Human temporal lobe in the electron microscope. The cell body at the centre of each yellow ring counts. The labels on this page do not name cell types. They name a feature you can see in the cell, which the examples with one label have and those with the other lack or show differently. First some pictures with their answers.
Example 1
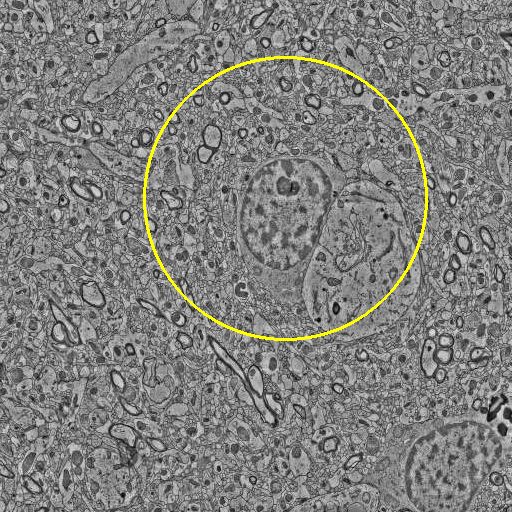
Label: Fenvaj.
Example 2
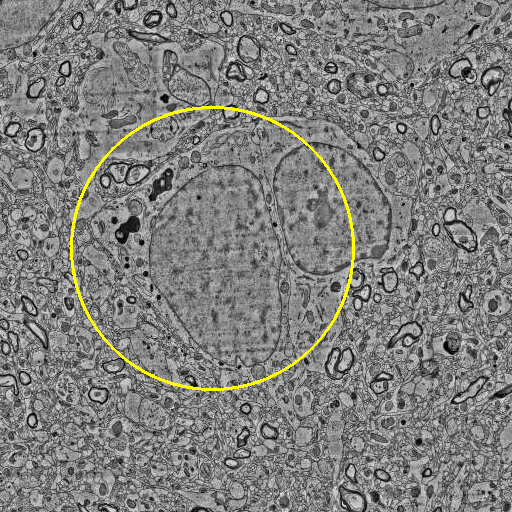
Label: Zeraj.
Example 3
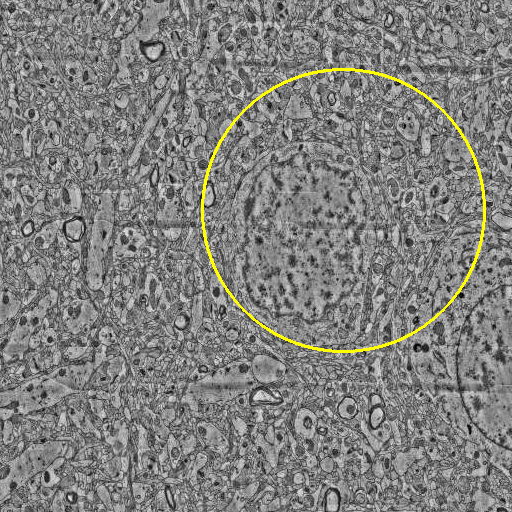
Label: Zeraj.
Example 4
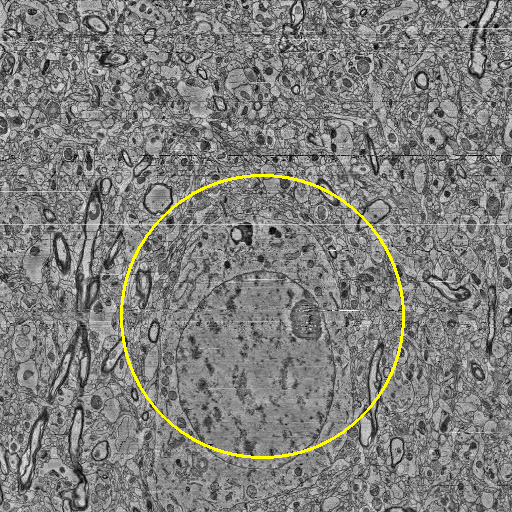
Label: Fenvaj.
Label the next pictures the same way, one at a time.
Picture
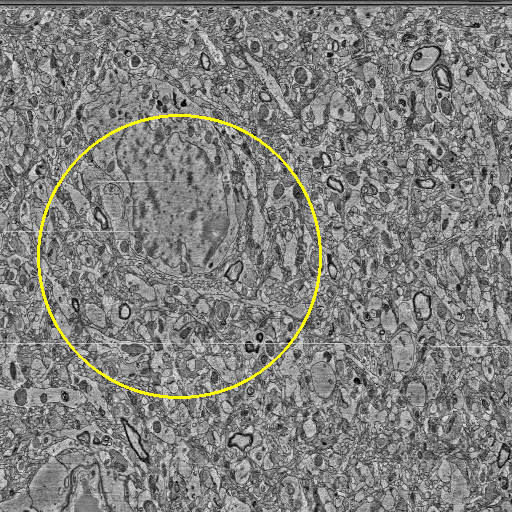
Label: Zeraj.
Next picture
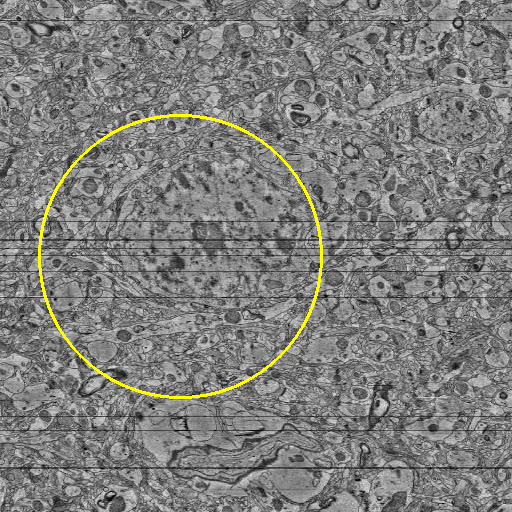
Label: Zeraj.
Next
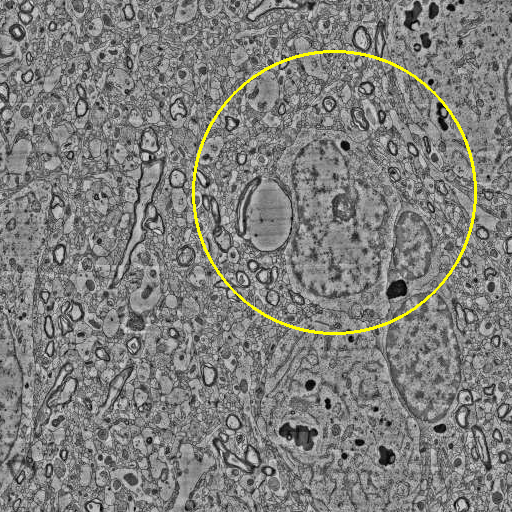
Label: Fenvaj.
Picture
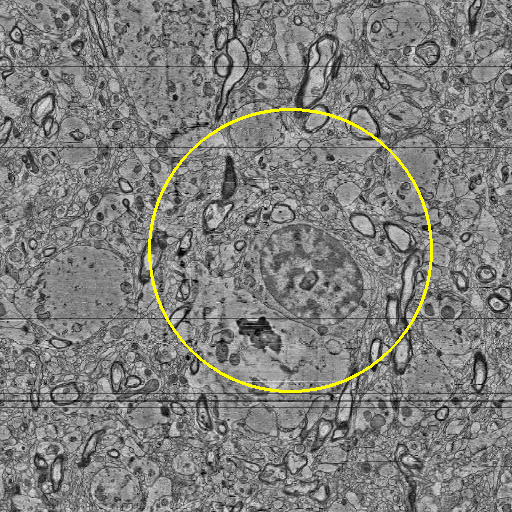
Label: Fenvaj.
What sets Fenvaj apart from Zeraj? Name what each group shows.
Fenvaj, nucleolus seen; Zeraj, no nucleolus seen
